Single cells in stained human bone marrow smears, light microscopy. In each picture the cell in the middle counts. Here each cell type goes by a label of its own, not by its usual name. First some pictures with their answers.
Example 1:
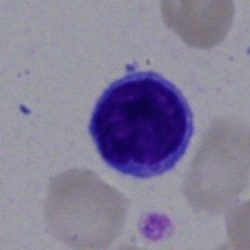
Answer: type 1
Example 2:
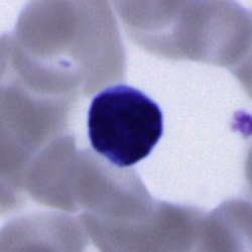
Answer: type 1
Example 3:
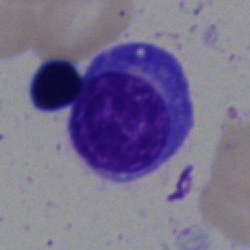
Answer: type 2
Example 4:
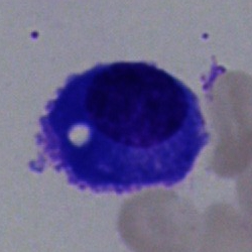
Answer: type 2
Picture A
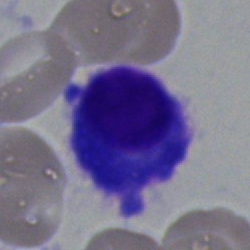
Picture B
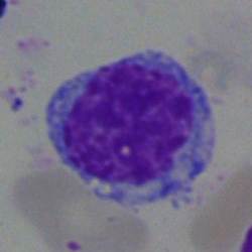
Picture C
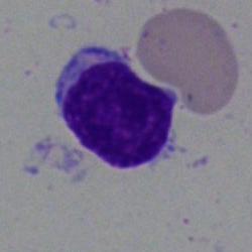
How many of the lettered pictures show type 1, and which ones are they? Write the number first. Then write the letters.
1: C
